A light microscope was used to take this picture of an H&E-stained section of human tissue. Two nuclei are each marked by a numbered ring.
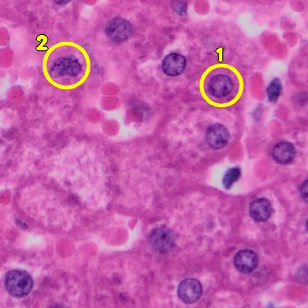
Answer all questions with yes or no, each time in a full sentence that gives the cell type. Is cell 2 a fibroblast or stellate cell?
Yes, the cell at the mark numbered 2 is a fibroblast or stellate cell.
